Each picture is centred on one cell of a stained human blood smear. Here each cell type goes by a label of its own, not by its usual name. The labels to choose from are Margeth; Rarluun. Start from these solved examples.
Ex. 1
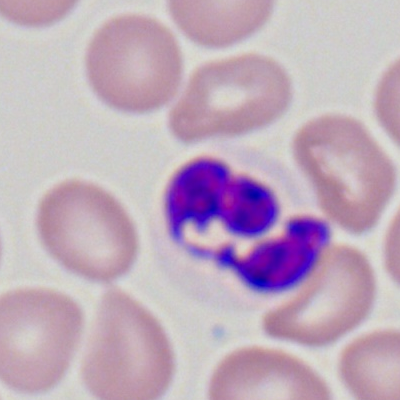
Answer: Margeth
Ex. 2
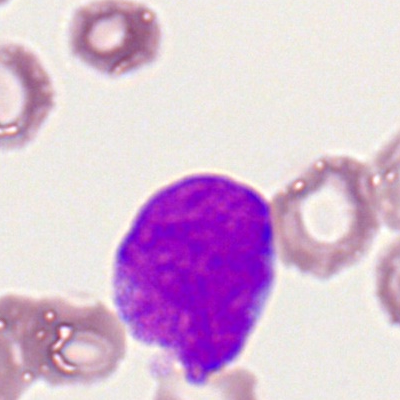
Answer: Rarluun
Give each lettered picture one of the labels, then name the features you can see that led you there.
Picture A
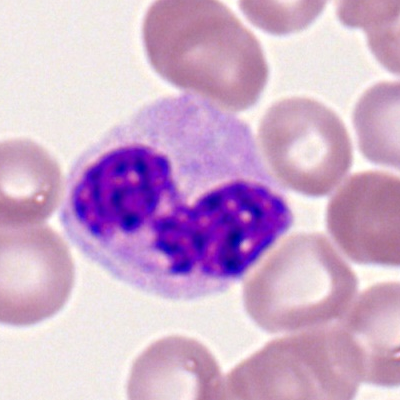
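Margeth: The cytoplasm is plentiful and pale lilac.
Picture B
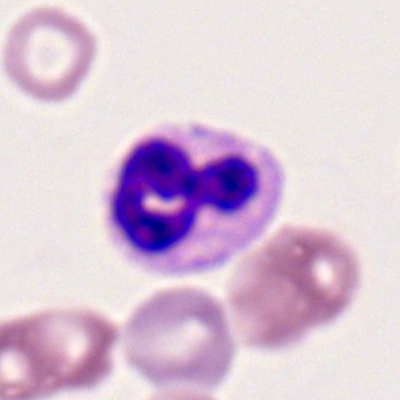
Margeth: The larger nuclear lobe lies on the left side of the cell.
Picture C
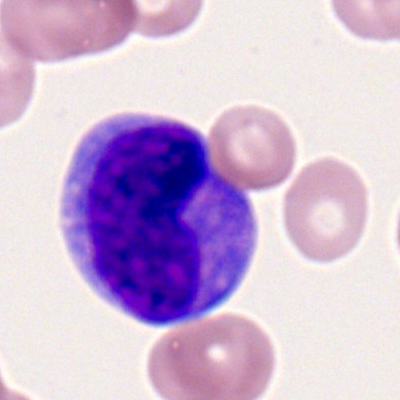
Rarluun: The nucleus fills most of the cell.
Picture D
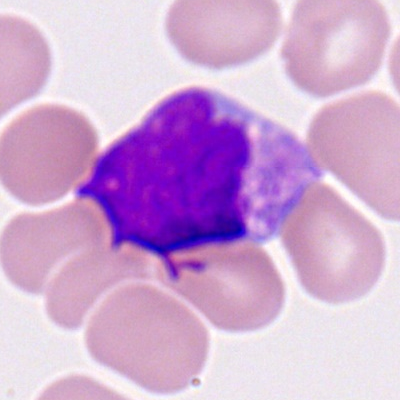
Rarluun: The nucleus fills most of the cell and sits toward the left side.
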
